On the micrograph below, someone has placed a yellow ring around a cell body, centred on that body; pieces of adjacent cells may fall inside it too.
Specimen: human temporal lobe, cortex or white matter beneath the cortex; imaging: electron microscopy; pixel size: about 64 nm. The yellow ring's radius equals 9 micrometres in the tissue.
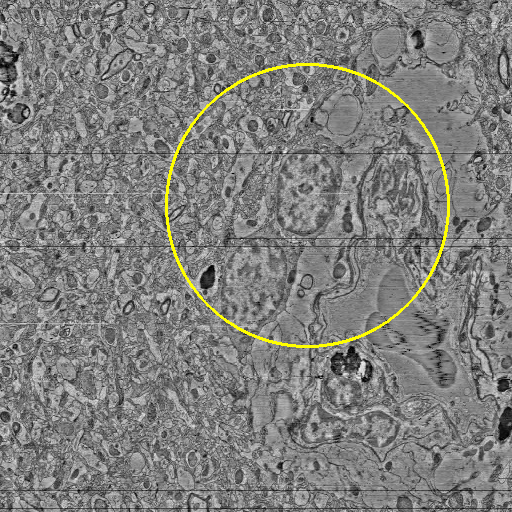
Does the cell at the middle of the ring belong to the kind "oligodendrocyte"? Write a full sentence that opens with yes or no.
Yes, the cell lying at the ring's centre on the micrograph is that kind.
